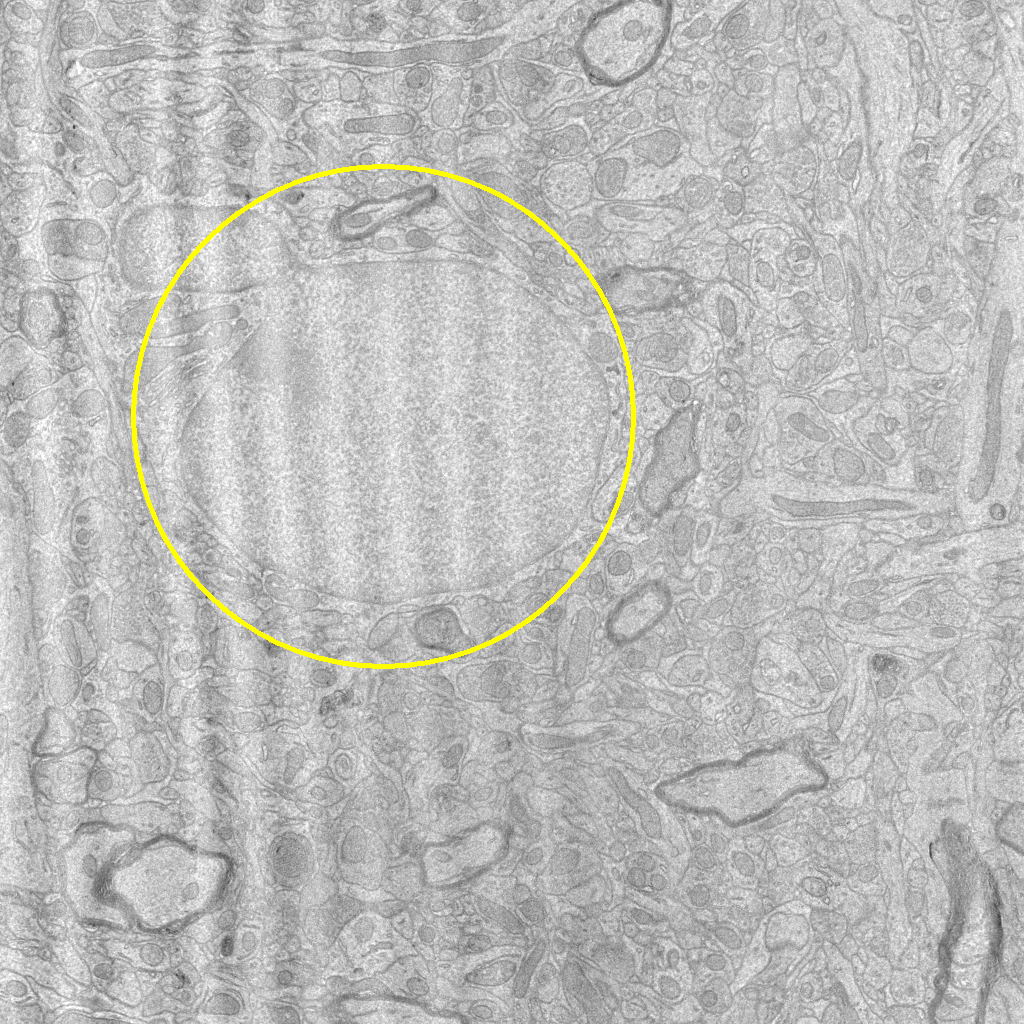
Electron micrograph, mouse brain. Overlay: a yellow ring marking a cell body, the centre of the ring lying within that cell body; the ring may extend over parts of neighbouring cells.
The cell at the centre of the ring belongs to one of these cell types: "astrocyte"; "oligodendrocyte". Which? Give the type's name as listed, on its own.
astrocyte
